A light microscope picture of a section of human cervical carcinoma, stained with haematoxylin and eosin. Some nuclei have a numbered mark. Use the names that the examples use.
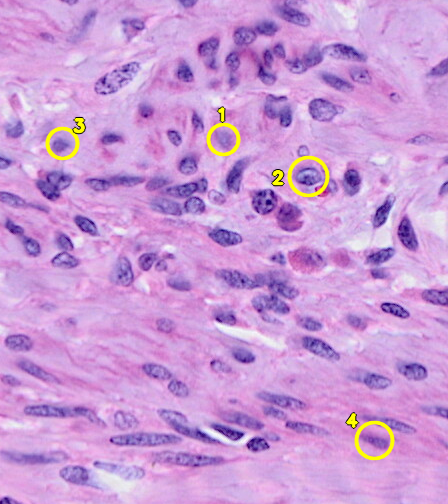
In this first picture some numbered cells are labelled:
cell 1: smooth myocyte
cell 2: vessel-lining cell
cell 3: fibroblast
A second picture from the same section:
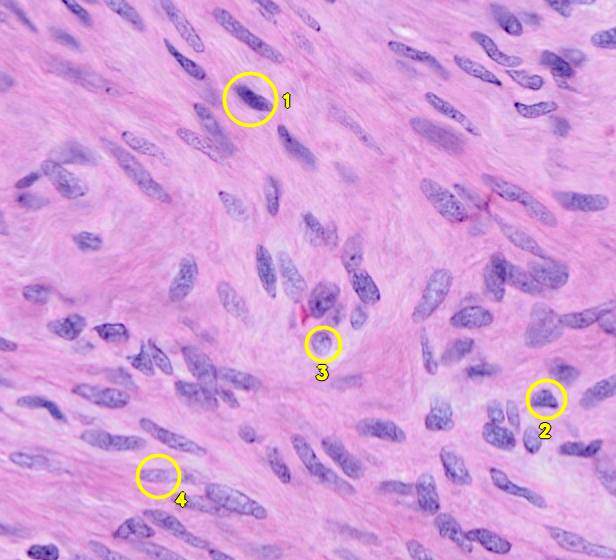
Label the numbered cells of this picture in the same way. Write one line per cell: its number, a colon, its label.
1: fibroblast
2: fibroblast
3: vessel-lining cell
4: smooth myocyte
